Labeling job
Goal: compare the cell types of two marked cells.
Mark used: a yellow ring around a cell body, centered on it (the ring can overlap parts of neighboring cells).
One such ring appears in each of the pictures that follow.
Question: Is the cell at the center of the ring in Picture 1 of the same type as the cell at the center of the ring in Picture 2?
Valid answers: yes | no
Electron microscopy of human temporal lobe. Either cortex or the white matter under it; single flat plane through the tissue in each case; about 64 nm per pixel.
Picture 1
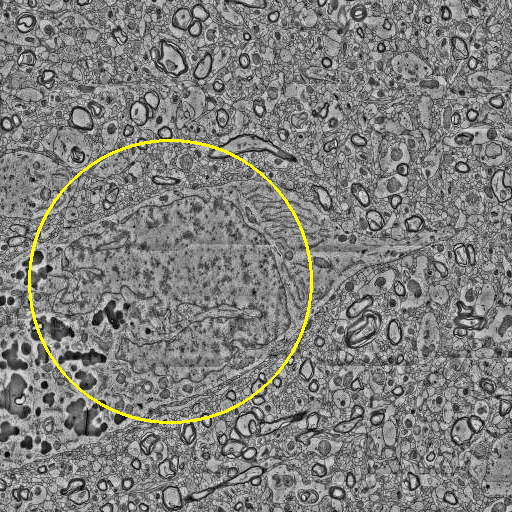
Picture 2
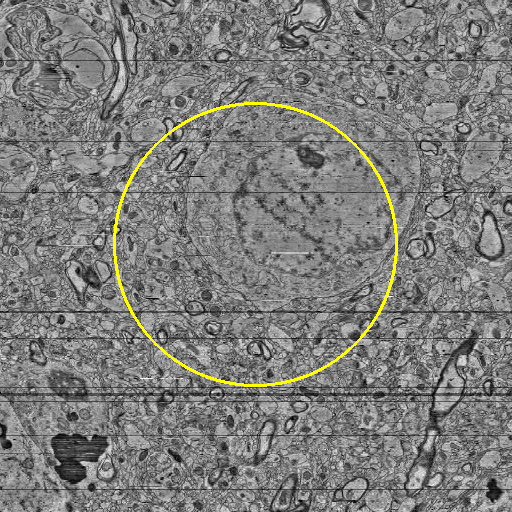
yes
